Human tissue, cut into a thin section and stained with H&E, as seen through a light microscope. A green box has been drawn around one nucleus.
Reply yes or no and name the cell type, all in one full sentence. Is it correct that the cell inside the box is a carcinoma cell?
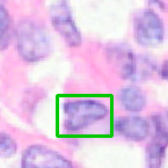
Yes, regarding cell type, the cell inside the box is a carcinoma cell.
